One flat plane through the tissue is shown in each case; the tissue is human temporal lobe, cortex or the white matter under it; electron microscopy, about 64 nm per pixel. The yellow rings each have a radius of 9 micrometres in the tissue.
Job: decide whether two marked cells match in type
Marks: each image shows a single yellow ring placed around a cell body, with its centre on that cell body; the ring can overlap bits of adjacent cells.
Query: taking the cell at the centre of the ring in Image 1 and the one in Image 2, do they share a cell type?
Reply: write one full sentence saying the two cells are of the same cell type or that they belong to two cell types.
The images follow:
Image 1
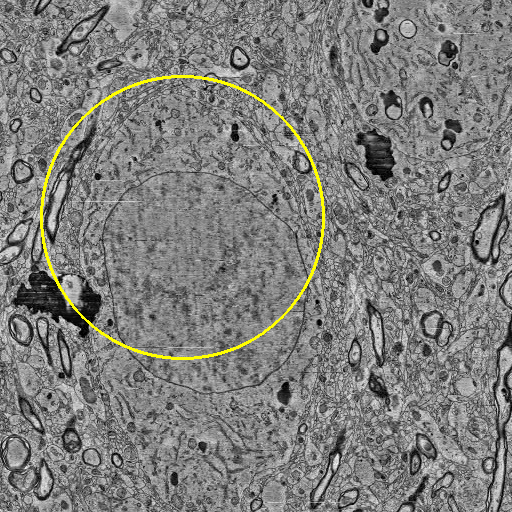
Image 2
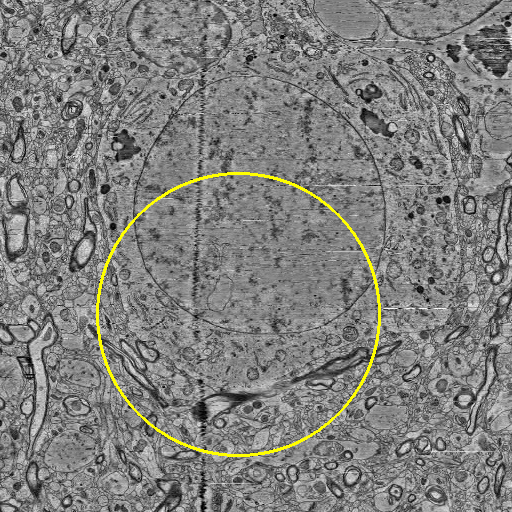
The cells at the ring centres in Image 1 and Image 2 are of the same cell type.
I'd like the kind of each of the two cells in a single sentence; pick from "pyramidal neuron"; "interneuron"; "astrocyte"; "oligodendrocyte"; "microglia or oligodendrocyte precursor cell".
Both pictures show a pyramidal neuron at the centre of the ring.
